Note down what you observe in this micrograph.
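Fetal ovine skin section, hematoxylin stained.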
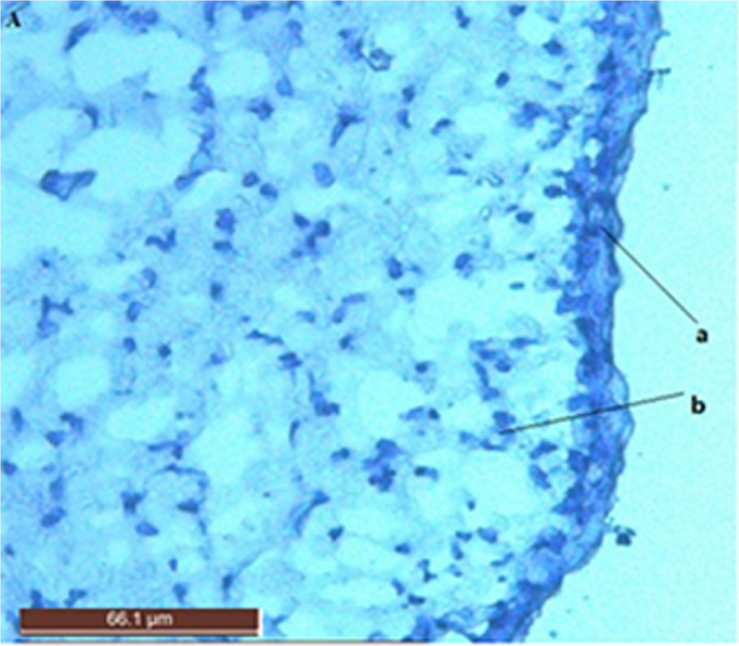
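The epidermis is a narrow band of flattened cells with dark blue nuclei, and it has no local thickenings. Beneath it lies loose, pale tissue with scattered small, irregular or spindle-shaped nuclei separated by wide, lightly stained spaces.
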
